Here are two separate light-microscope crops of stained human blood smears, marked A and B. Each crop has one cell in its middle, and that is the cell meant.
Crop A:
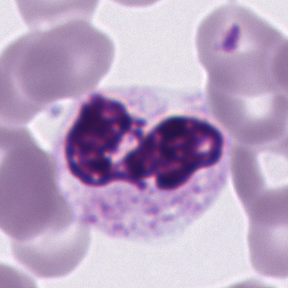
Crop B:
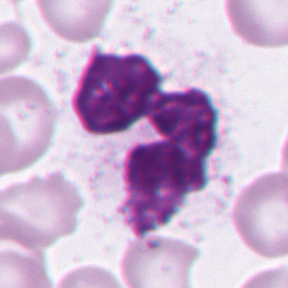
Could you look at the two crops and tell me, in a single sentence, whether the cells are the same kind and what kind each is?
Yes, the cells of interest in both crops are segmented neutrophils.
